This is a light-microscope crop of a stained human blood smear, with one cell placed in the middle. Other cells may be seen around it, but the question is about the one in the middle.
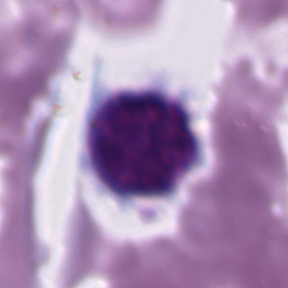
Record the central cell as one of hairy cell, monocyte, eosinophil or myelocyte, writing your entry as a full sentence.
The cell nearest the centre of this crop is a hairy cell.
